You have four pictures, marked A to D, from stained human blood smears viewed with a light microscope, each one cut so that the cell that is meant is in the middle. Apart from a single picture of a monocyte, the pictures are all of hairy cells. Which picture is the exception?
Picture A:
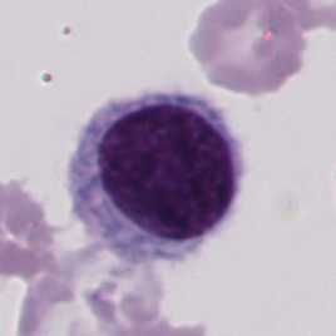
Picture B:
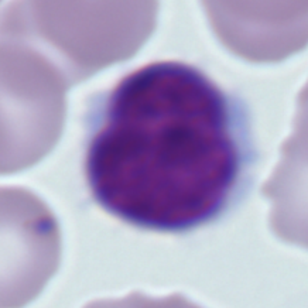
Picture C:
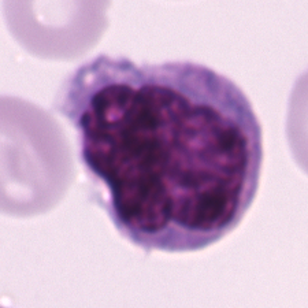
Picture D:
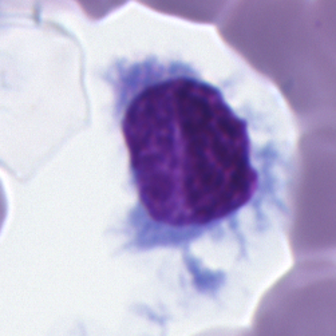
C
